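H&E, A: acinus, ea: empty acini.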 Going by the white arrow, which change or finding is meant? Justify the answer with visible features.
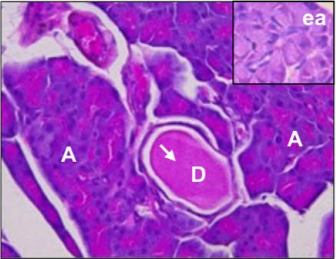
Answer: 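Ductal plugging. A large duct with a thin wall sits among the acini. Its lumen is filled with homogeneous pink material. The arrow points into this filled lumen.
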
